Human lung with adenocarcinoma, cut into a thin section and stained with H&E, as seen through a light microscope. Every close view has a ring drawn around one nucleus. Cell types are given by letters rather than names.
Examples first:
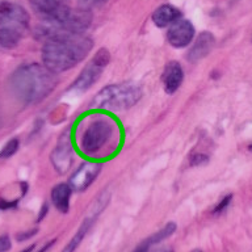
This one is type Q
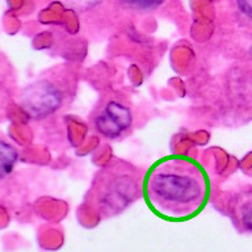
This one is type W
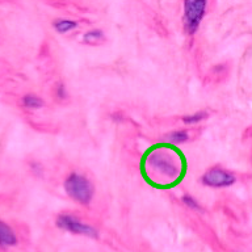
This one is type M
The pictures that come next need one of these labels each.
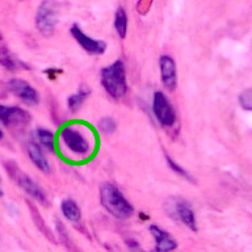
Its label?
type Q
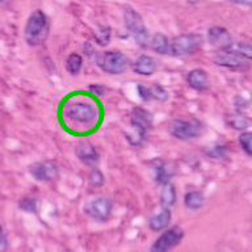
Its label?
type M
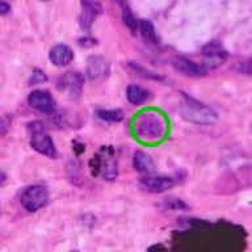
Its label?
type Q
